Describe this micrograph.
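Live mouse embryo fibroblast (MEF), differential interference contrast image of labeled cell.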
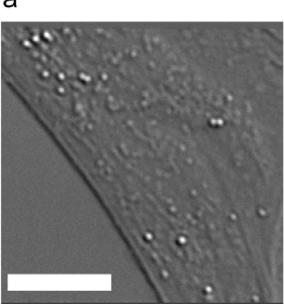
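Part of a single flat, spread cell fills most of the field, with a smooth curved edge running diagonally across the left side and empty background beyond it. The cytoplasm has a granular texture with many small round bright refractile bodies, clustered most densely toward the upper part. Faint fibre-like streaks run through the thinner regions toward the lower right.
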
